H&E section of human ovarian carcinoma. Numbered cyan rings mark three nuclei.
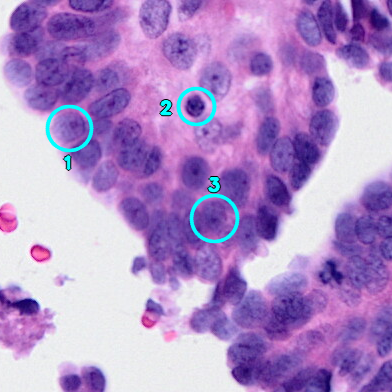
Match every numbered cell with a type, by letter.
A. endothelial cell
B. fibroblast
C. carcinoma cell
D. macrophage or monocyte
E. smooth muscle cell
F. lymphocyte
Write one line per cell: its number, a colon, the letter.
1: C
2: F
3: C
